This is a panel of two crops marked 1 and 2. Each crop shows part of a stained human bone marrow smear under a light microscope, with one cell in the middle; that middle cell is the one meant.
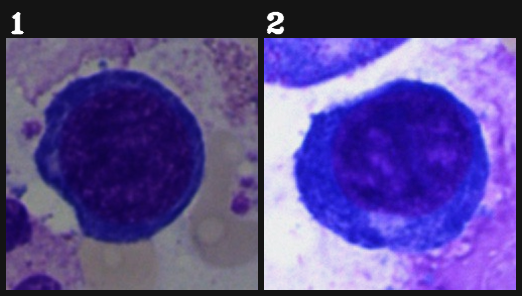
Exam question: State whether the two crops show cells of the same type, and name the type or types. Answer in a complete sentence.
Yes, both of the crops show proerythroblasts.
